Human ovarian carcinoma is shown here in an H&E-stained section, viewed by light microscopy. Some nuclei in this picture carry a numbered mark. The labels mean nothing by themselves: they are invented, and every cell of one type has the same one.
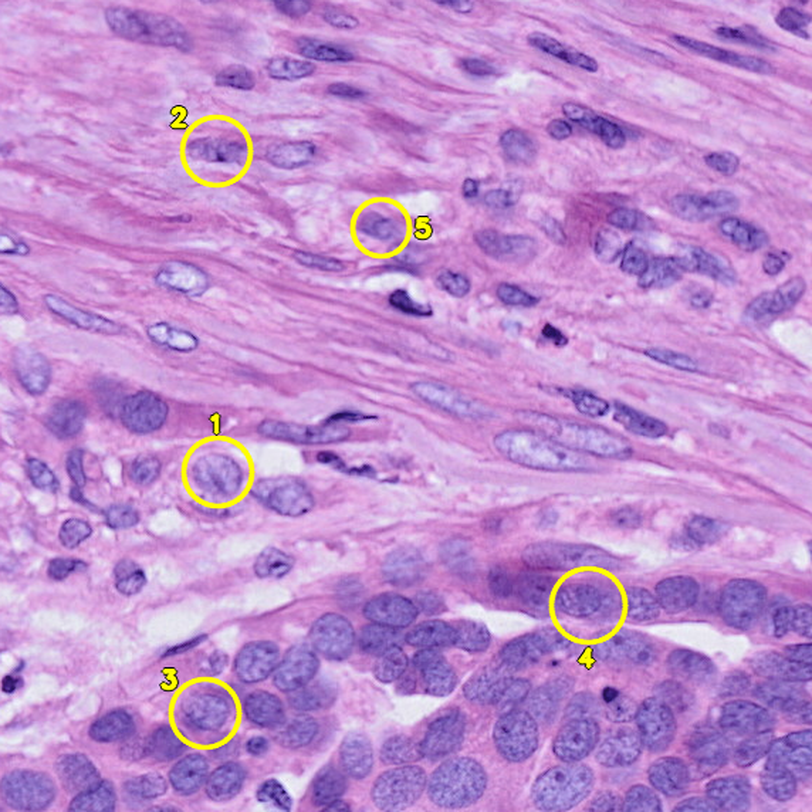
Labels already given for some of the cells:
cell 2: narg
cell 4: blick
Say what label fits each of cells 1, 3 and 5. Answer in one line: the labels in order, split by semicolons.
narg; blick; narg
